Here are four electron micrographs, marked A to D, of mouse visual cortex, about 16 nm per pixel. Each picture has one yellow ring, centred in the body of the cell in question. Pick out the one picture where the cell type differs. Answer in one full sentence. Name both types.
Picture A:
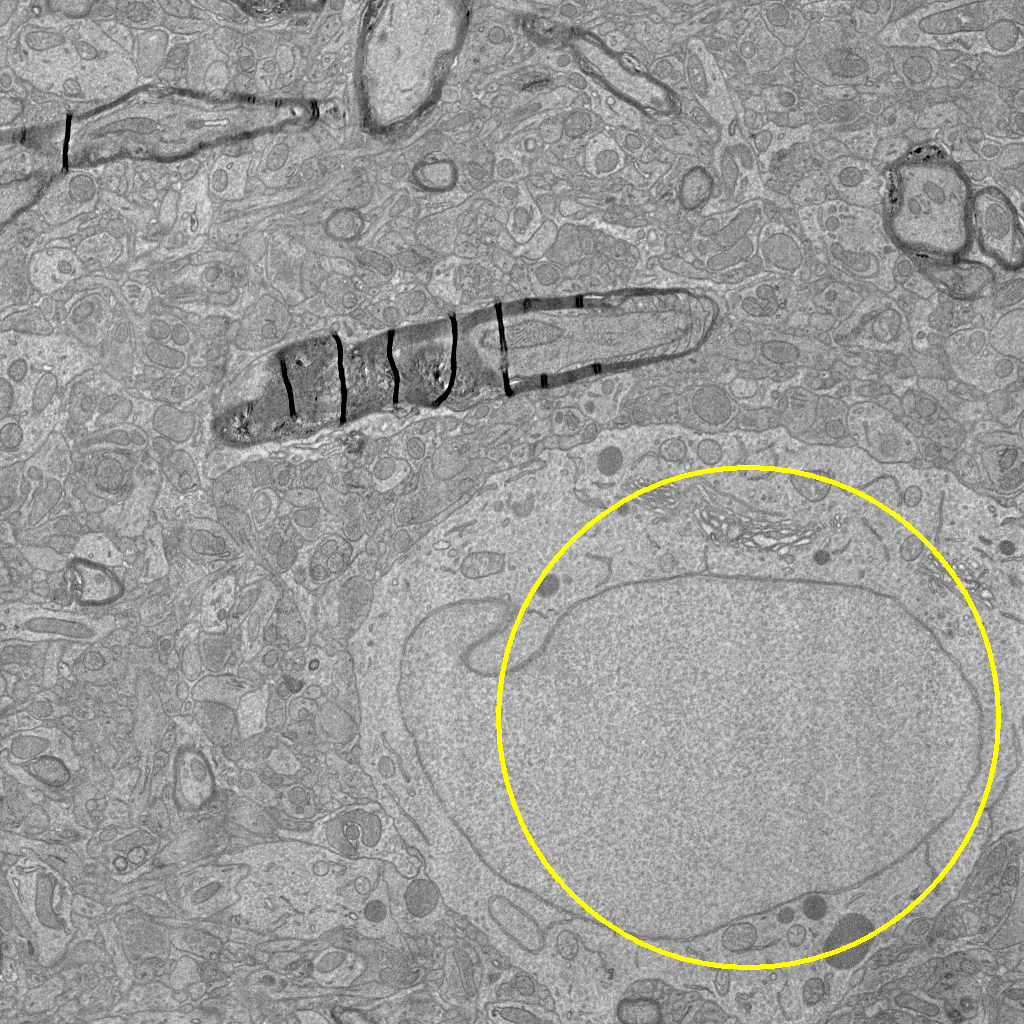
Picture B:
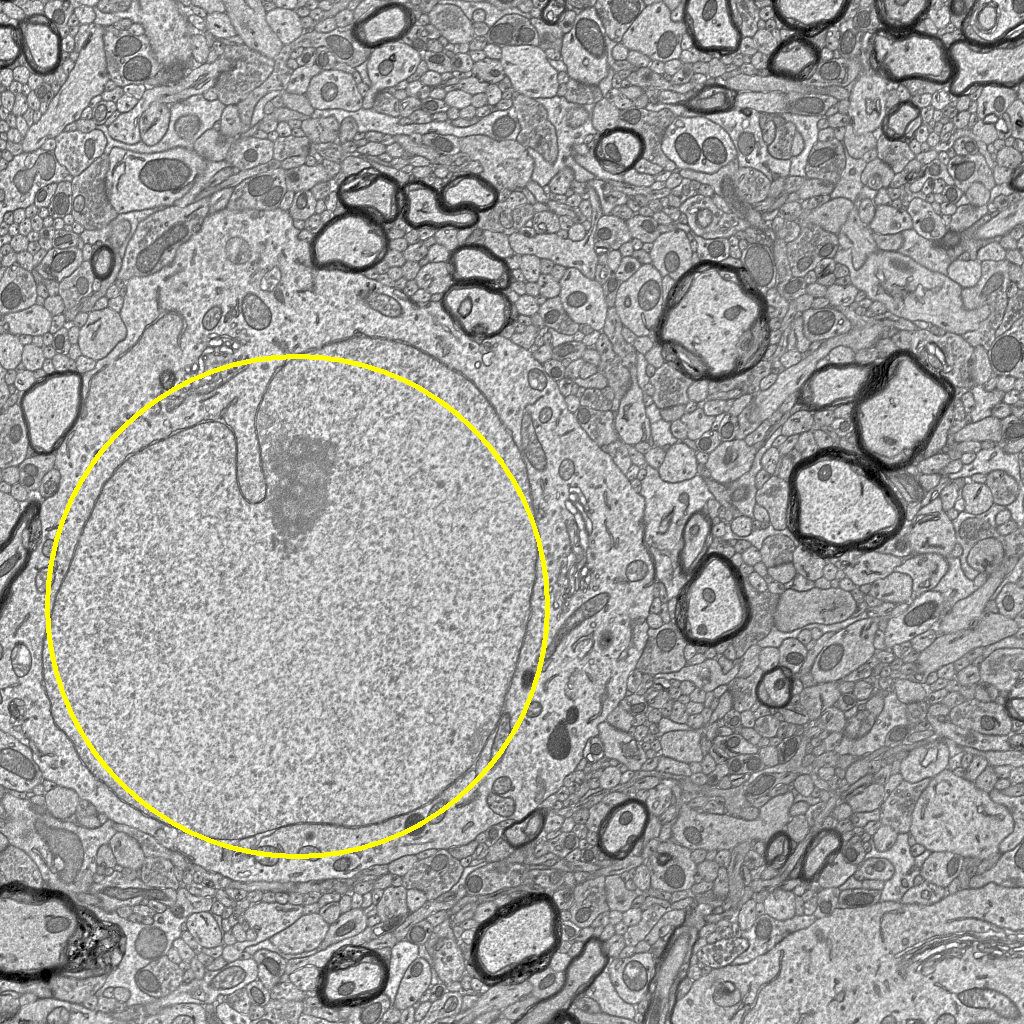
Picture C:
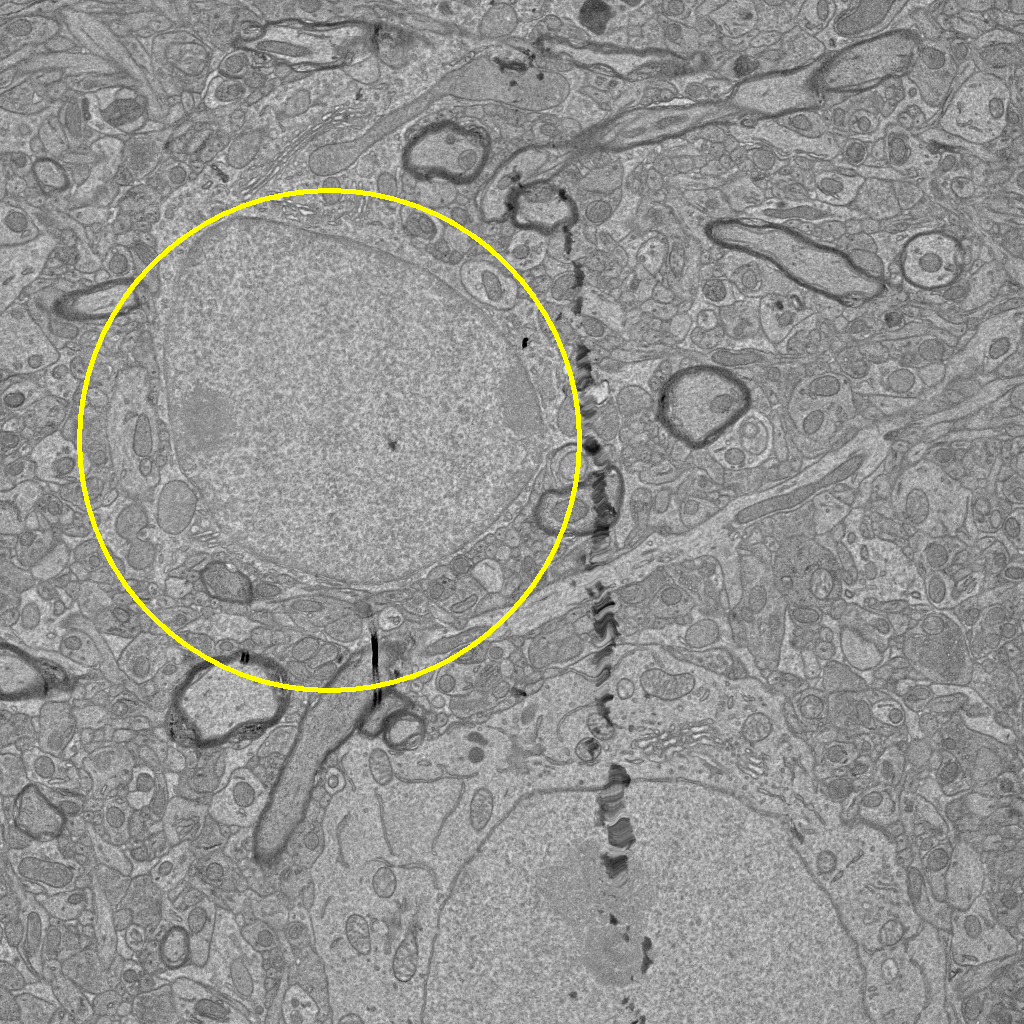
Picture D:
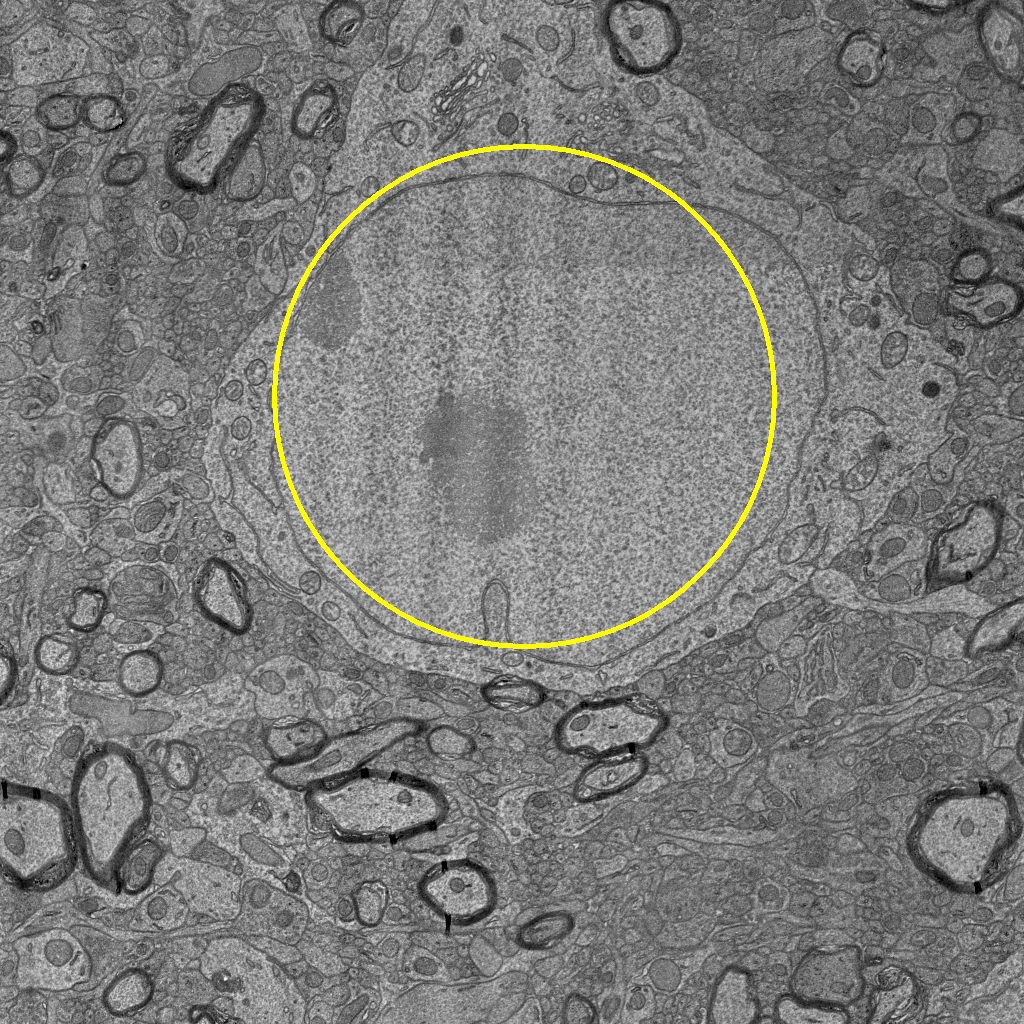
Unlike the rest, which show excitatory neurons, picture C shows an astrocyte.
